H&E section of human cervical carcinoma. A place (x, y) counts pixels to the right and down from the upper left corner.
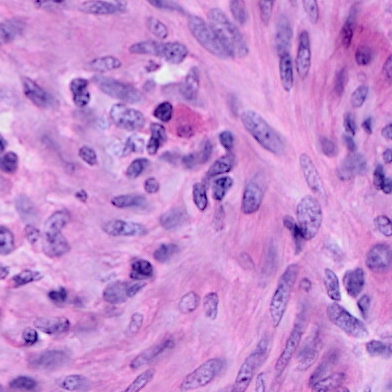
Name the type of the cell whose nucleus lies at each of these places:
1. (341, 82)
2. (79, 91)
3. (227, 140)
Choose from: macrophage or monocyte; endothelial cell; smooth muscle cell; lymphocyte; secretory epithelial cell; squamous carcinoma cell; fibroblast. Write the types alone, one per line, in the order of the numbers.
smooth muscle cell
lymphocyte
lymphocyte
